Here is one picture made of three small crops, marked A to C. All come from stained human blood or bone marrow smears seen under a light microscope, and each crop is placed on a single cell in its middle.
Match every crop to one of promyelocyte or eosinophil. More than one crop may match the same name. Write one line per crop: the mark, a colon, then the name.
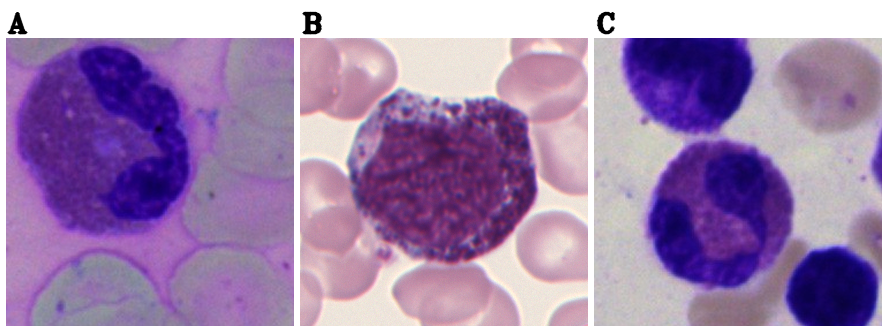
A: eosinophil
B: promyelocyte
C: eosinophil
